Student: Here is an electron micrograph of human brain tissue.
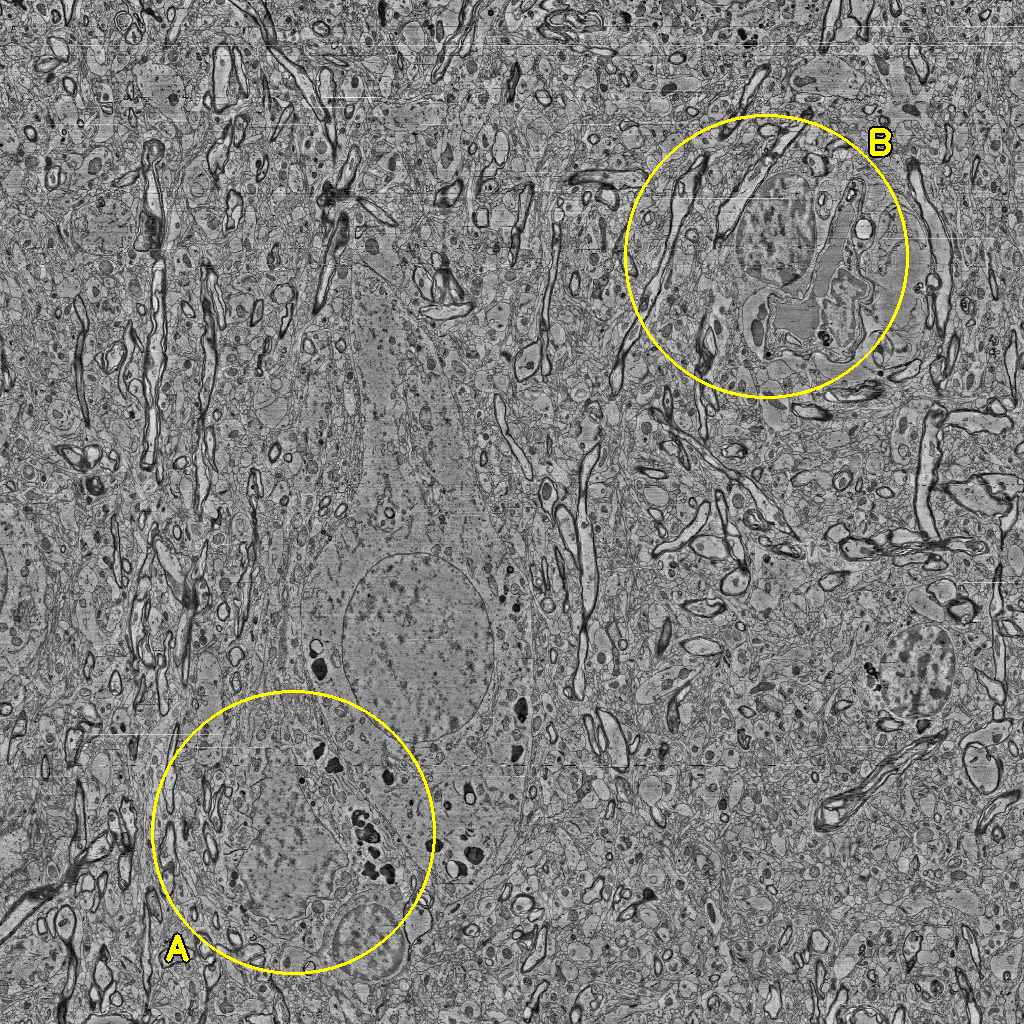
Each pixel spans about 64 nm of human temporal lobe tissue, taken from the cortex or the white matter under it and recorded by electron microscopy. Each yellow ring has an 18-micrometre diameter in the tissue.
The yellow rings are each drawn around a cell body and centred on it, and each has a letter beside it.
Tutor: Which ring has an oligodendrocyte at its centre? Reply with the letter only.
B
